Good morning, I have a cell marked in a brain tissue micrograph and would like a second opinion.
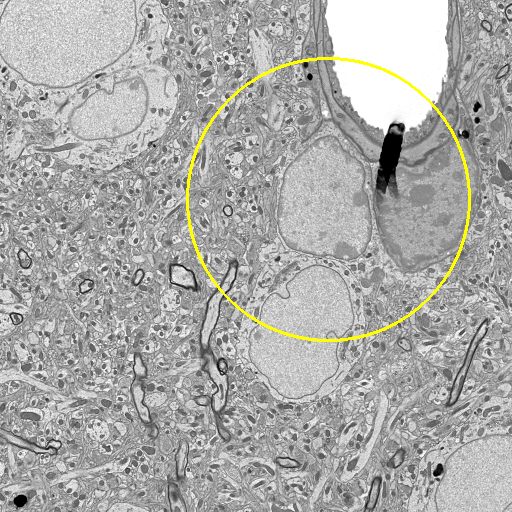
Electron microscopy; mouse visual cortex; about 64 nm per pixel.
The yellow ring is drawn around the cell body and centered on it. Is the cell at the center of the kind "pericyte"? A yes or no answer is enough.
no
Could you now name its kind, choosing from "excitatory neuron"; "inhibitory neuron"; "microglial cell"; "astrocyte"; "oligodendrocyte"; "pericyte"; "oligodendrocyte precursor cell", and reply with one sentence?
This picture has an astrocyte at the centre of its ring.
